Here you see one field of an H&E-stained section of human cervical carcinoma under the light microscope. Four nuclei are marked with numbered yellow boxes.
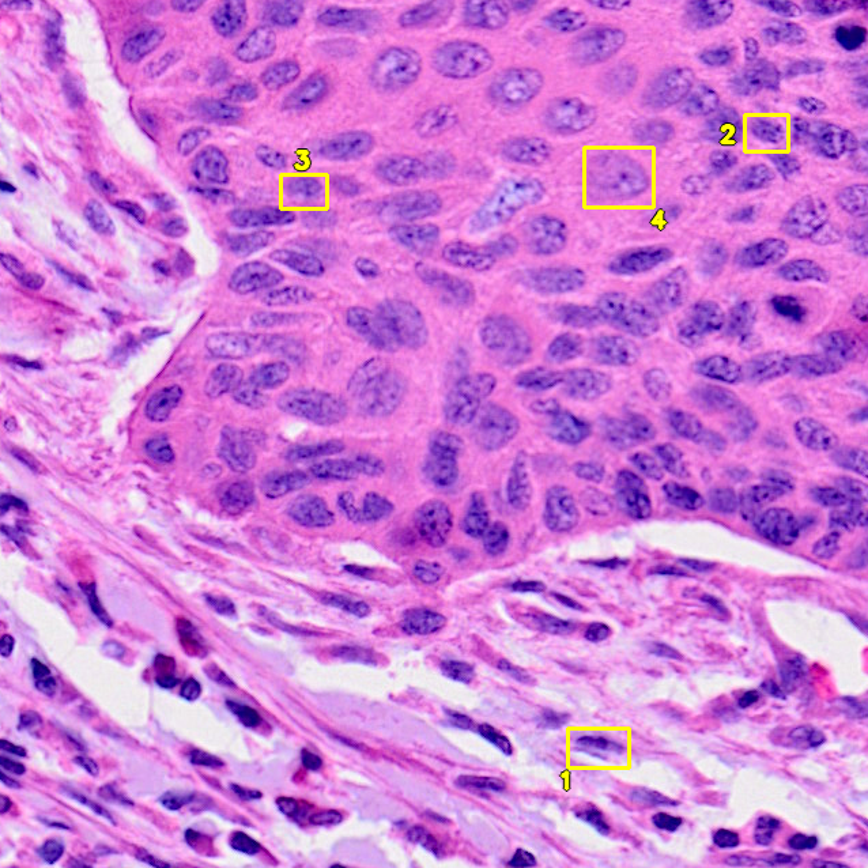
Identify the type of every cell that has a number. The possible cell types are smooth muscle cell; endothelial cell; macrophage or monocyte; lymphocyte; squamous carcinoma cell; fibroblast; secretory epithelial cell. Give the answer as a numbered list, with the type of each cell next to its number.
1. fibroblast
2. squamous carcinoma cell
3. squamous carcinoma cell
4. squamous carcinoma cell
